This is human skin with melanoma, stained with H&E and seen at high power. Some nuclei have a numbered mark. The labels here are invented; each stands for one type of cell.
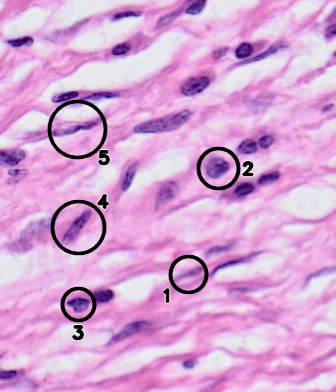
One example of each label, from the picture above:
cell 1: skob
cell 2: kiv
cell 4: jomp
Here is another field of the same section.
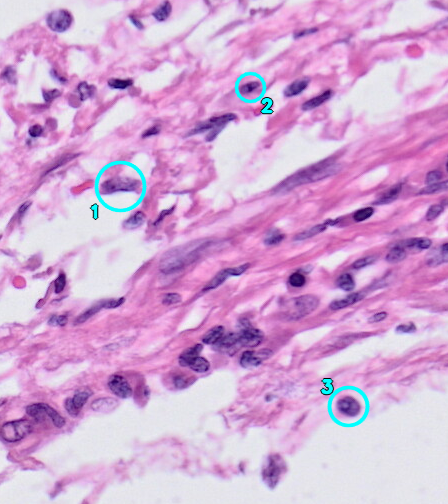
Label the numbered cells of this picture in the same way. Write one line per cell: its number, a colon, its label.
1: skob
2: jomp
3: kiv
